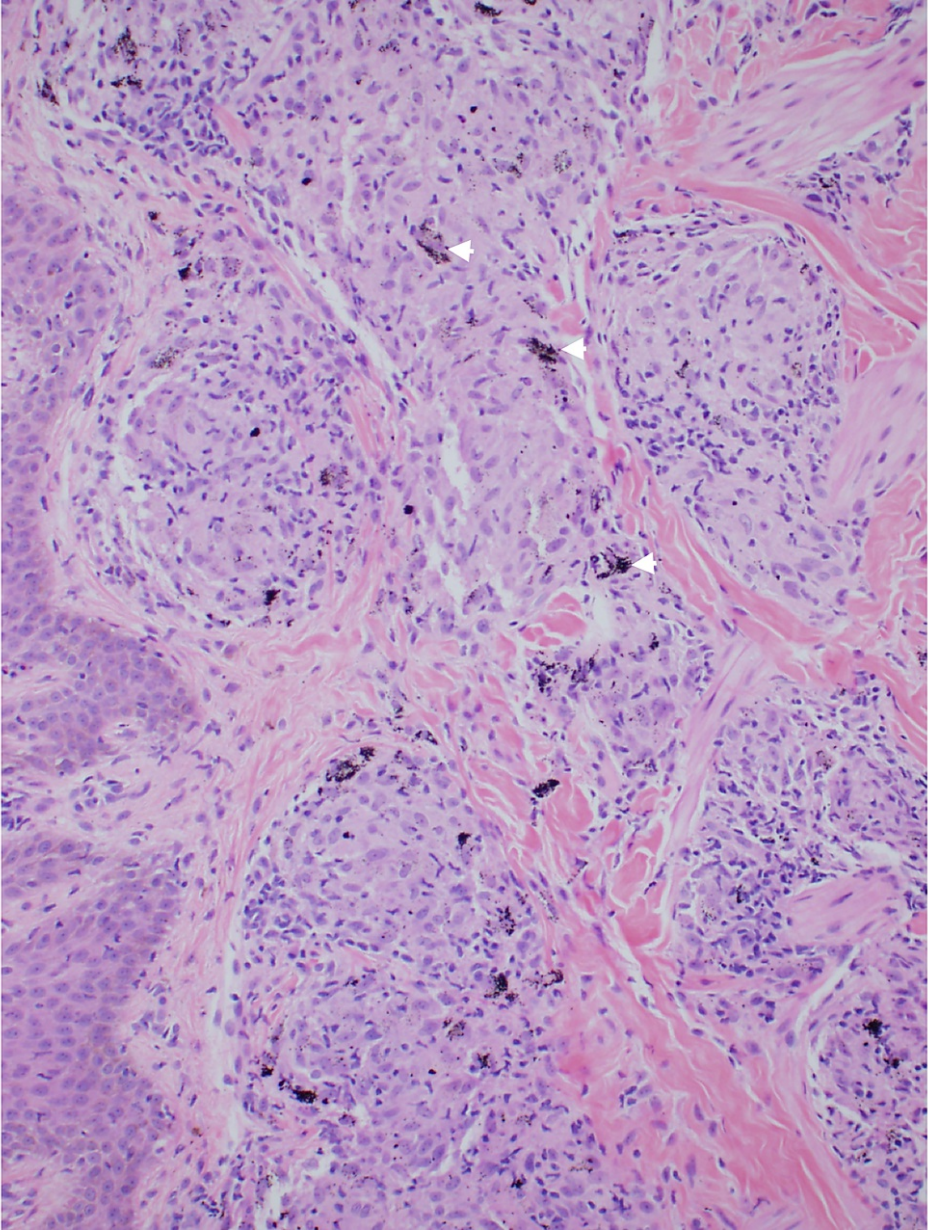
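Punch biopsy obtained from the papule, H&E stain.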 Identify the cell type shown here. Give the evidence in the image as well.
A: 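Rounded nests of cells with pale pink cytoplasm and oval pale nuclei. The nests are separated by bands of pink collagen. That points to this answer: epithelioid cells.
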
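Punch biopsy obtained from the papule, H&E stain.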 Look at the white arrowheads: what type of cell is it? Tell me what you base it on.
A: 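Macrophages. The white arrowheads point at cells holding clumps of black granular material. These pigment-holding cells lie within the pale cell nests.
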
